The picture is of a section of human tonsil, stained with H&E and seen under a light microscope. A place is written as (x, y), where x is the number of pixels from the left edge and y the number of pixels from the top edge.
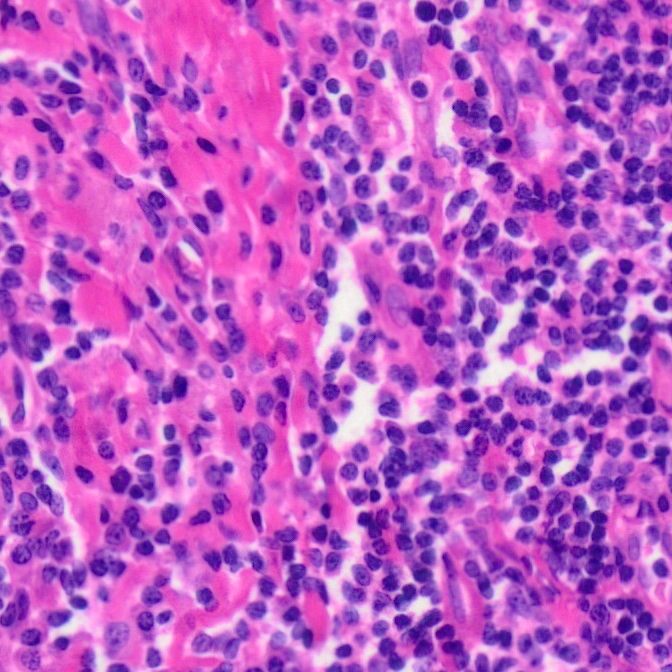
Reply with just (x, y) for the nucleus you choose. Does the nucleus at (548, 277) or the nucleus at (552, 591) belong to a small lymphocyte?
(548, 277)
